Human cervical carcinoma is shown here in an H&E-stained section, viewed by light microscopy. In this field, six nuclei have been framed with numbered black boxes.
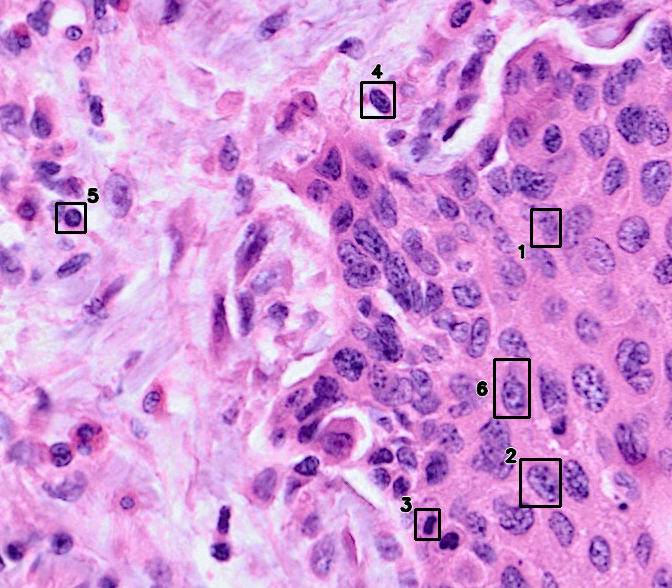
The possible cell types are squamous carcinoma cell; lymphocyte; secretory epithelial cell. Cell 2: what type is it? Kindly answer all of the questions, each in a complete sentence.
The marked cell bearing number 2 is a squamous carcinoma cell.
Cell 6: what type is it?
Cell number 6 in this section is a squamous carcinoma cell.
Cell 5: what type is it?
The cell referenced by the number 5 is a lymphocyte in this field.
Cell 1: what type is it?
The mark numbered 1 indicates the nucleus of a squamous carcinoma cell.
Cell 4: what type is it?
Numbered cell 4 is a lymphocyte in this tissue section.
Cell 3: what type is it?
The marked cell with the number 3 is recognised as a squamous carcinoma cell.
